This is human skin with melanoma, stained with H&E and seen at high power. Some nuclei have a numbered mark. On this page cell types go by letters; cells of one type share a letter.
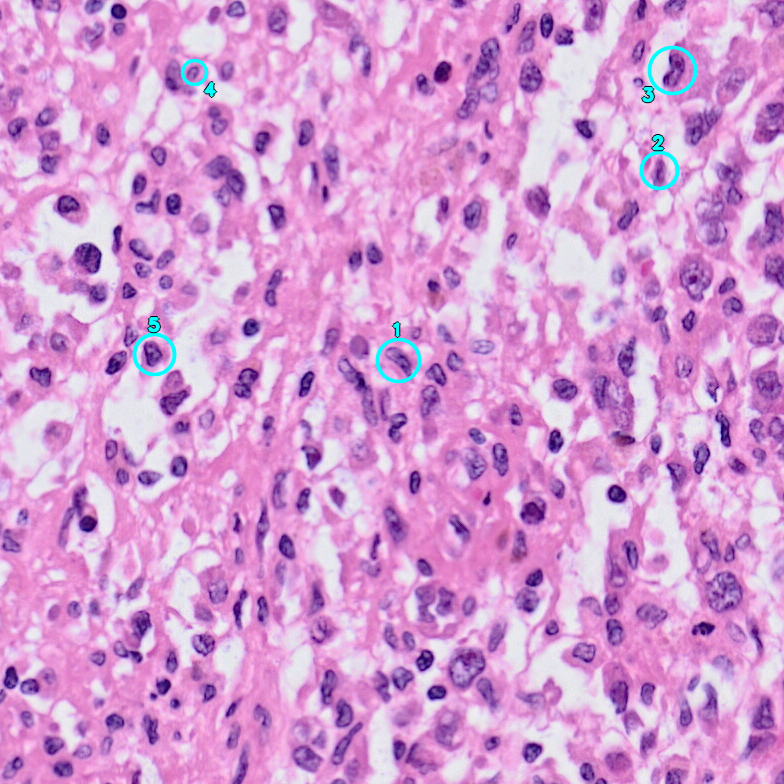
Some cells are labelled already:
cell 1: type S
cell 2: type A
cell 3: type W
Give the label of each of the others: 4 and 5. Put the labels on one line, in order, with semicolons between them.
type S; type S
